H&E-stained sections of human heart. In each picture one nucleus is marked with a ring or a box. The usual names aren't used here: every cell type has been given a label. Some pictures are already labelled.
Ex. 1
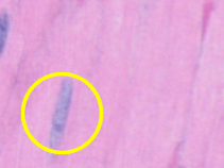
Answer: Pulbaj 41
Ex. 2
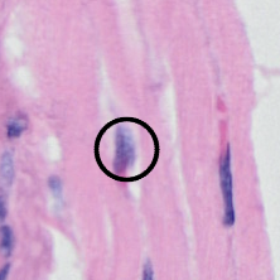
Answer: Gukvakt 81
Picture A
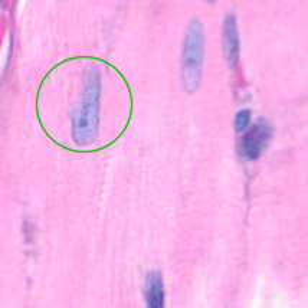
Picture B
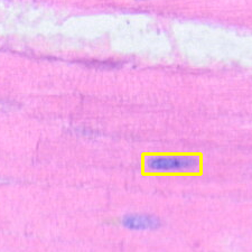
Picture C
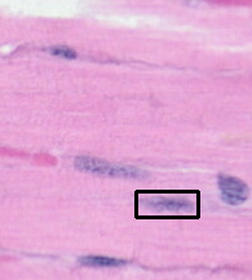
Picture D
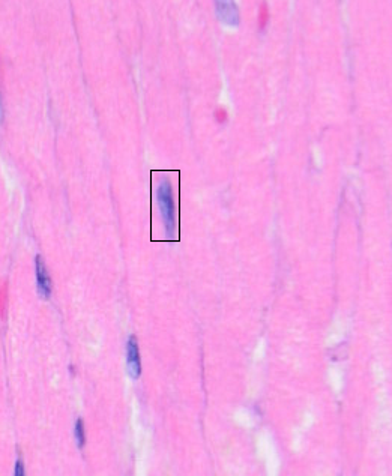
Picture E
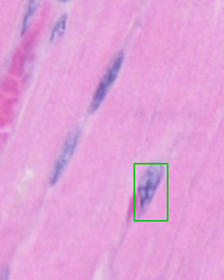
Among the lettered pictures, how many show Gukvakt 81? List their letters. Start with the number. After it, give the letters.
3, namely C, D, E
